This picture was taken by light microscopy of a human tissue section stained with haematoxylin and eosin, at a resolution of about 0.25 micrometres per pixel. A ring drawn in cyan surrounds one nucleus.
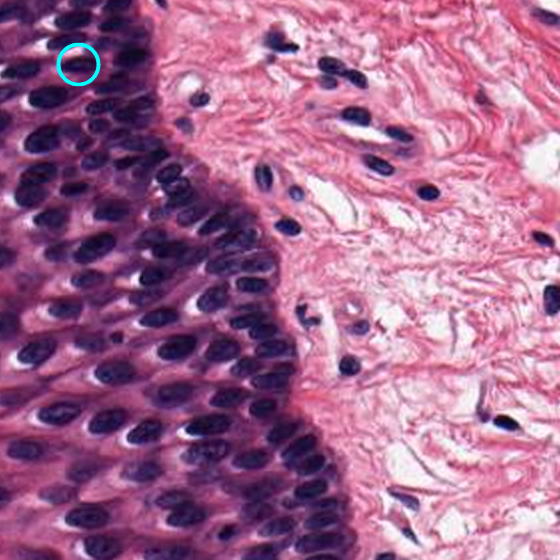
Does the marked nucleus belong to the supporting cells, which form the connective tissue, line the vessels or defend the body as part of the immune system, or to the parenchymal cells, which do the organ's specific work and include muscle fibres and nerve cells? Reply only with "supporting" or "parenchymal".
parenchymal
